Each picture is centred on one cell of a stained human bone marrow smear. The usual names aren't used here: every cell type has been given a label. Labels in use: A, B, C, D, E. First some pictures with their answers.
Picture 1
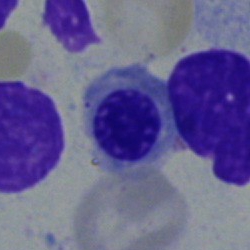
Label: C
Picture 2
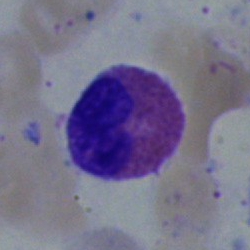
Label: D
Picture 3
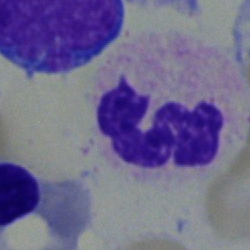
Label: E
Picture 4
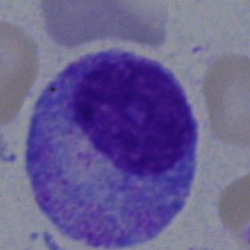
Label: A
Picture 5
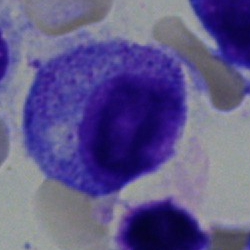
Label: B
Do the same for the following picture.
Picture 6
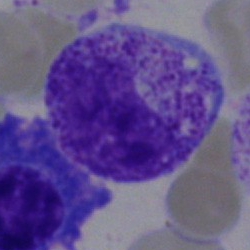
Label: B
